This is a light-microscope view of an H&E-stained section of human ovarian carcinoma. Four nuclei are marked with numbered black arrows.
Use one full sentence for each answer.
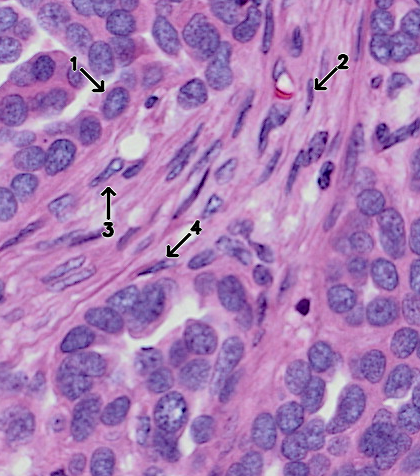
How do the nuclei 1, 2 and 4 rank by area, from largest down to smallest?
From largest to smallest, the order is 1, 4, 2.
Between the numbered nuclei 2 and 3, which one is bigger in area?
The larger nucleus is 3, at roughly 1.5 times the area of 2.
